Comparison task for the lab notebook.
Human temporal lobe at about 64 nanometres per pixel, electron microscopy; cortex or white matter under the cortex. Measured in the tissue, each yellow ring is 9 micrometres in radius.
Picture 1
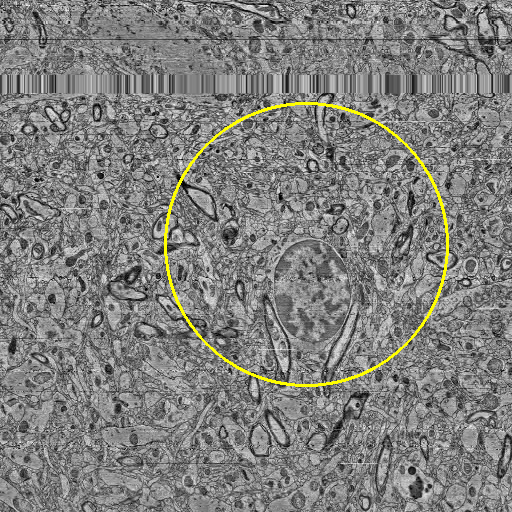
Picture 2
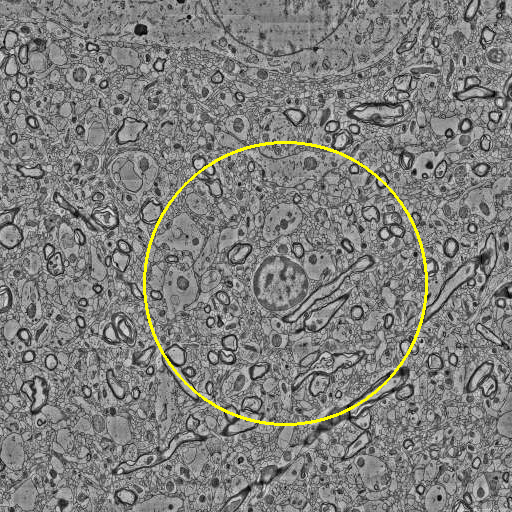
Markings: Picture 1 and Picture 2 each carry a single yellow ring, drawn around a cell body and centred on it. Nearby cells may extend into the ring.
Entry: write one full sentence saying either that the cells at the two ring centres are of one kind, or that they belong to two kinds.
The cells sitting at the ring centres in Picture 1 and Picture 2 are of one kind.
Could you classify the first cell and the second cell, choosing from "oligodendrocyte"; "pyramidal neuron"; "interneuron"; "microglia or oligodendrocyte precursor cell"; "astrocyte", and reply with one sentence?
Both pictures show a microglial cell or oligodendrocyte precursor cell at the centre of the ring.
